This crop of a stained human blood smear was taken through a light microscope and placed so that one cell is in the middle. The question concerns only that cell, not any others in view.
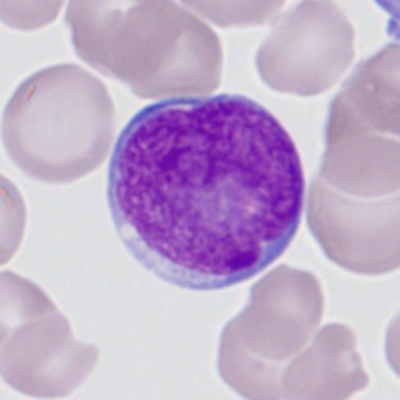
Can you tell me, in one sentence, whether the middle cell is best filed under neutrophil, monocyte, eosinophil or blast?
The centrally located cell in the crop is a blast.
